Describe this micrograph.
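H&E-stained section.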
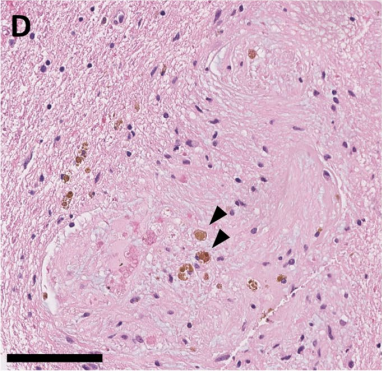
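This is brain white matter around a scarred, obliterated small vessel, with pigment-laden macrophages beside it. The vessel is reduced to a whorl of pale pink fibrous tissue with no clear lumen. Scattered within and around it are rounded cells stuffed with coarse golden-brown granules, some in small clusters. The surrounding tissue is pale and loosely fibrillary, with scattered small dark glial nuclei and a few elongated nuclei following the layered scar.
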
